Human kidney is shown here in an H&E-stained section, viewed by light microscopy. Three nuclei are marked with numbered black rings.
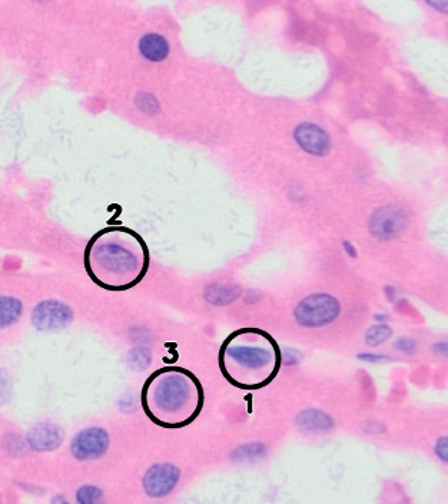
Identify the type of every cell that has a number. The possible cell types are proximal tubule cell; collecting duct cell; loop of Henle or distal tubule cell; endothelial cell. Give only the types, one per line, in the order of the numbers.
endothelial cell
proximal tubule cell
loop of Henle or distal tubule cell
